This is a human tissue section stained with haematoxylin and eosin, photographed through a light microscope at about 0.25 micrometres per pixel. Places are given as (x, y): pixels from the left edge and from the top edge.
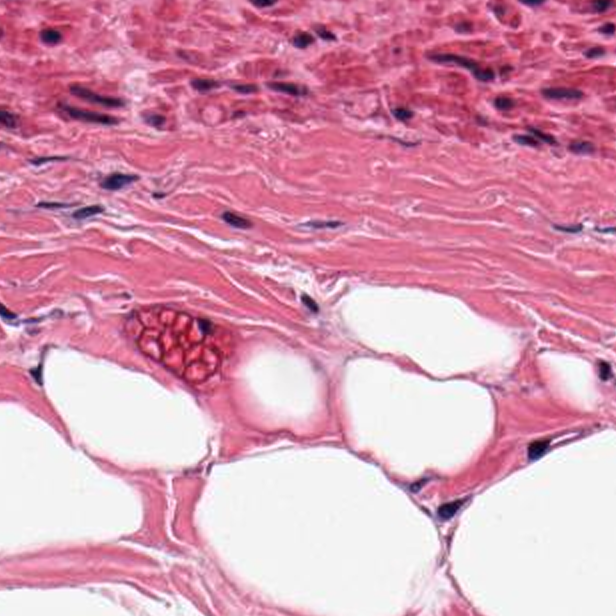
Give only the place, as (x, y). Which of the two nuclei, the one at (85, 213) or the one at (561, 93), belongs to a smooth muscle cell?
(561, 93)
